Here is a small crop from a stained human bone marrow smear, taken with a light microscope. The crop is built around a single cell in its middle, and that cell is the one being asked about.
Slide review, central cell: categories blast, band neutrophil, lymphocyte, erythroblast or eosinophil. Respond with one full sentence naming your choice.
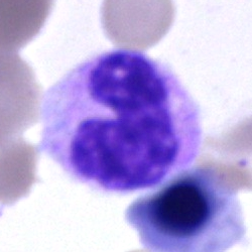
Occupying the centre of the crop is a band neutrophil.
